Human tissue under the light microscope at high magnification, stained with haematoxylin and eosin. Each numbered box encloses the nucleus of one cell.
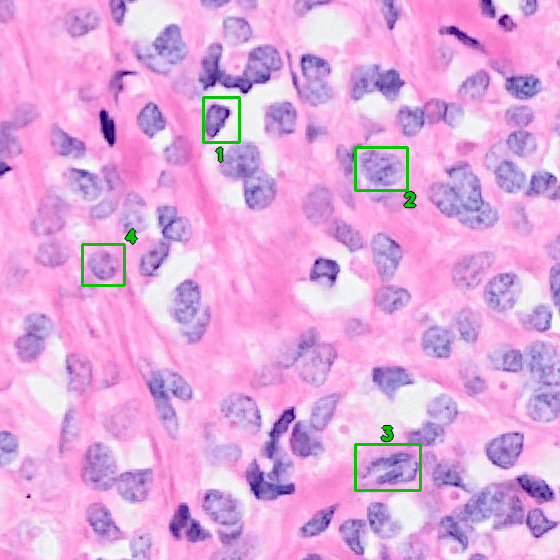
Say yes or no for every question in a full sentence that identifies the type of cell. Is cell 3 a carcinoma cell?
No, the marker 3 sits on an endothelial cell, not on a carcinoma cell.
